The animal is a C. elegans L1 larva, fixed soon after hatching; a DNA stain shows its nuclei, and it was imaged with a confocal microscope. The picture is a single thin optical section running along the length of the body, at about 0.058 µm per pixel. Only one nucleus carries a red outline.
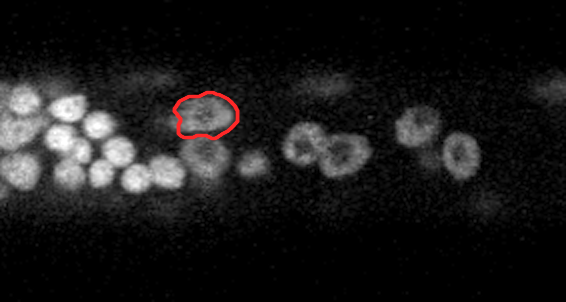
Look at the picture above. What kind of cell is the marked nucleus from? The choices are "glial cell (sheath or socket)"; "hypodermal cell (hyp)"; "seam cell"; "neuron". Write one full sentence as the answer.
The marked cell is a glial cell (sheath or socket).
